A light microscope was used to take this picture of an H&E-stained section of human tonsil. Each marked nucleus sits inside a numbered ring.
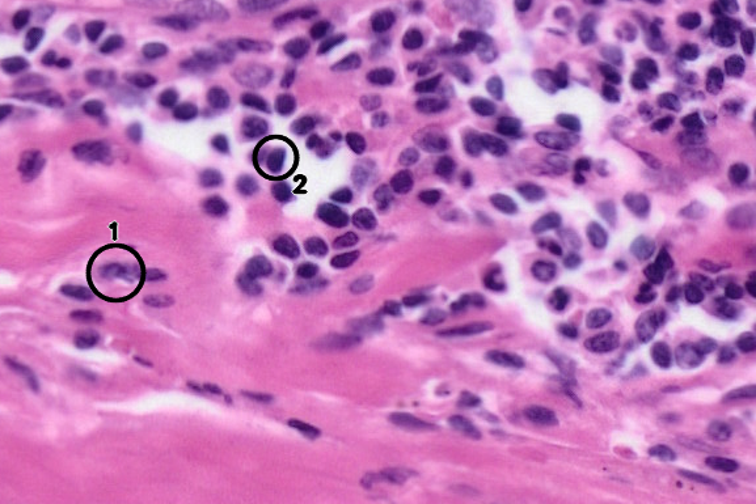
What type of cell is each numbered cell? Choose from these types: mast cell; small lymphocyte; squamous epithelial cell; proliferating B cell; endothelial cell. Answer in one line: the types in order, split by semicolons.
mast cell; small lymphocyte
